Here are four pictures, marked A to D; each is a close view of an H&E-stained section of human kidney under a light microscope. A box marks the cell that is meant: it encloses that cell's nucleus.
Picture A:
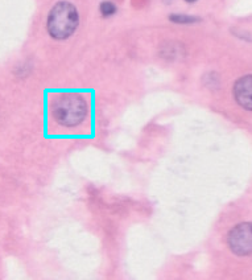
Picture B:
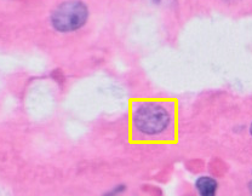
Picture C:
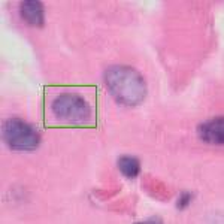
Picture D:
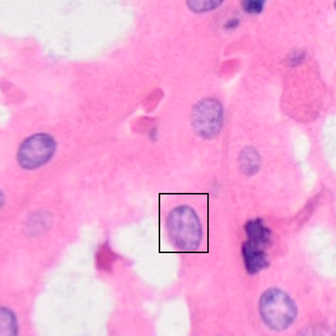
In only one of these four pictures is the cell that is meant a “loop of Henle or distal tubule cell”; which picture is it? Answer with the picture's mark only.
C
